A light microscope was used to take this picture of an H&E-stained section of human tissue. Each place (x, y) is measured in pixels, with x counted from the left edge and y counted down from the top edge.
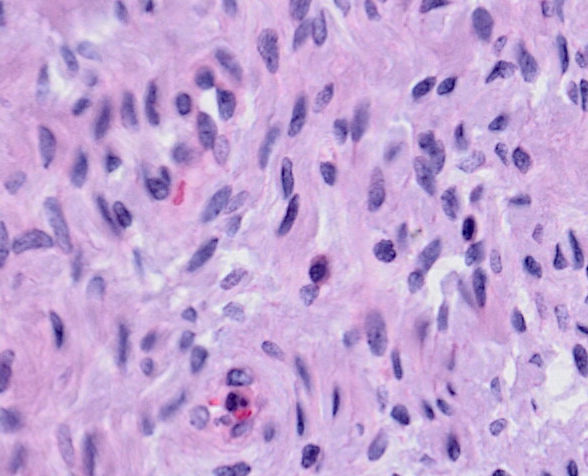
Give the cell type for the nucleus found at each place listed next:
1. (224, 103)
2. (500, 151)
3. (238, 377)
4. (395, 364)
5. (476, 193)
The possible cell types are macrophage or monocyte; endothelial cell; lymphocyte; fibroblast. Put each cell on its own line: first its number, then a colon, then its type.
1: endothelial cell
2: fibroblast
3: endothelial cell
4: fibroblast
5: fibroblast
